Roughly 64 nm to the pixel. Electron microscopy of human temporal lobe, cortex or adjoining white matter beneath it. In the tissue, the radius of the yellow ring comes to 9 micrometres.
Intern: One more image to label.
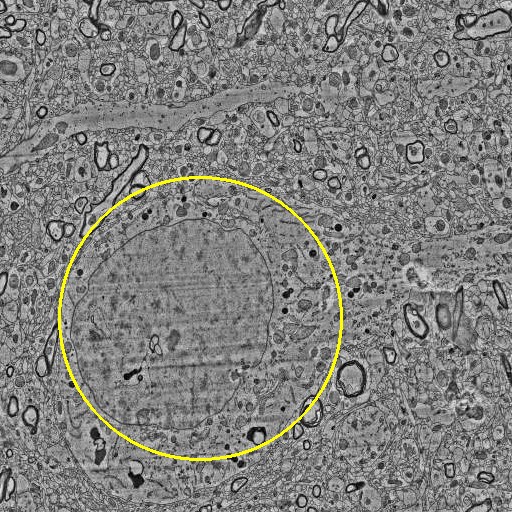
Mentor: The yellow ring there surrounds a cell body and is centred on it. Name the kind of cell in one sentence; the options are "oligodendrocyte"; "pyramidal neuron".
The ring marks the cell body of a pyramidal neuron.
